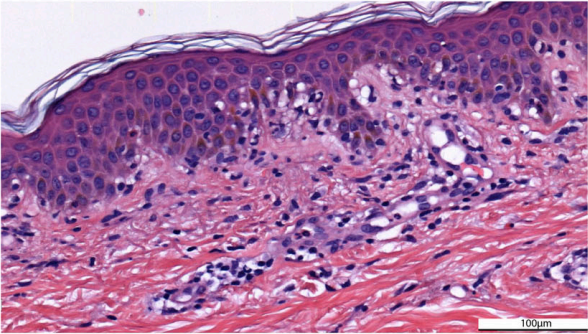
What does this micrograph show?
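Skin in pink and purple is seen, with a layered epidermis under a basket-weave horny layer and a pale pink upper dermis below it. Along the junction the basal layer is broken up by clear vacuoles, and small cells with dark nuclei lie scattered at and just under the junction and around small vessels in the upper dermis. This is a vacuolar interface dermatitis with a mild superficial inflammatory infiltrate.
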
